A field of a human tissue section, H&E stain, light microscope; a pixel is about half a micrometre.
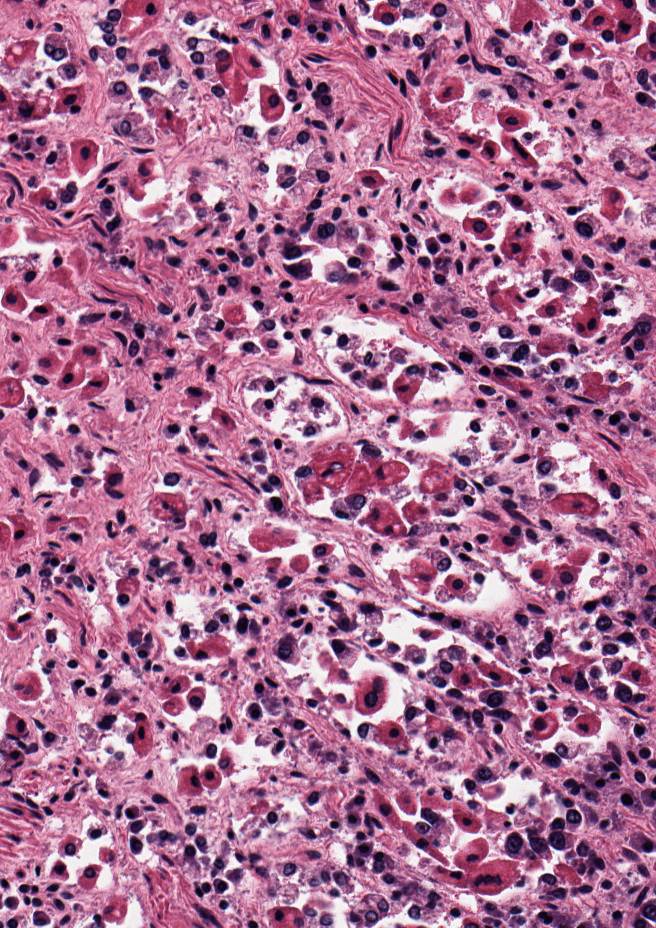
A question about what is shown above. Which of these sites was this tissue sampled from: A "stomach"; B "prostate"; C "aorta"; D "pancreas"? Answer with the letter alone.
A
